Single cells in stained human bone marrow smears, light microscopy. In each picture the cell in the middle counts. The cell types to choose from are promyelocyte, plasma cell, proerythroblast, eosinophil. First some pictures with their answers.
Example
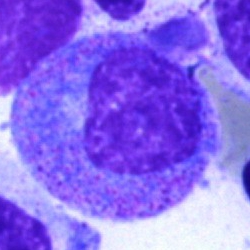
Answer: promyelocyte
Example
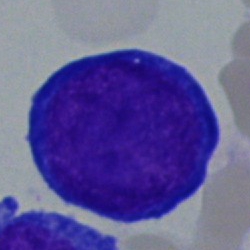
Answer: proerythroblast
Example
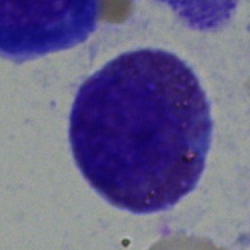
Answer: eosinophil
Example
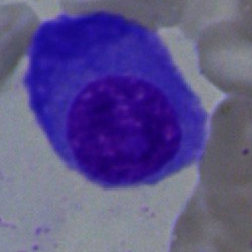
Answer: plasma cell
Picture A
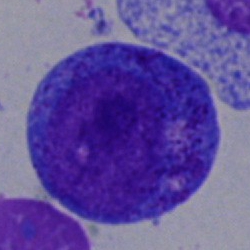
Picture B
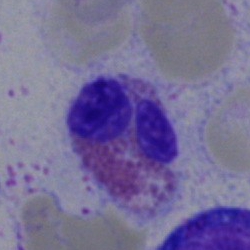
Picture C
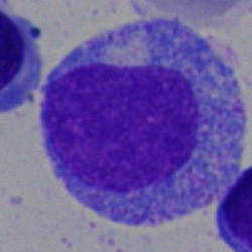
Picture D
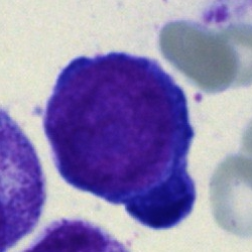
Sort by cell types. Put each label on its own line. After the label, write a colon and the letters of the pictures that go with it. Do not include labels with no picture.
promyelocyte: A, C
proerythroblast: D
eosinophil: B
